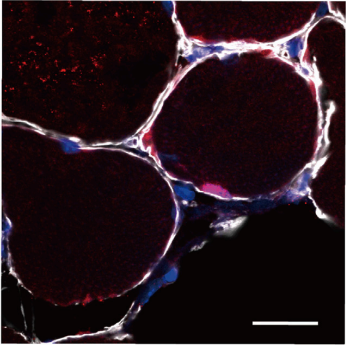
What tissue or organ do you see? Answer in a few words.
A: Skeletal muscle cross sections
